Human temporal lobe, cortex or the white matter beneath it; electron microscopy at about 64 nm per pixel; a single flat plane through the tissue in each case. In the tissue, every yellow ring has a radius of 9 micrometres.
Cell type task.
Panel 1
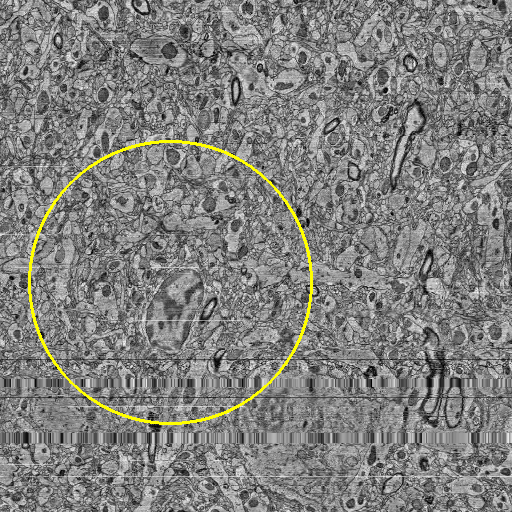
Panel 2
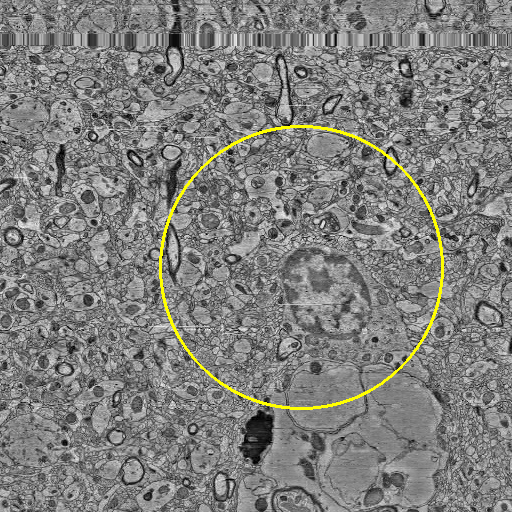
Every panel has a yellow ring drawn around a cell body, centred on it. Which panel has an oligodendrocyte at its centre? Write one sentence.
It sits at the centre of the ring in Panel 2.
